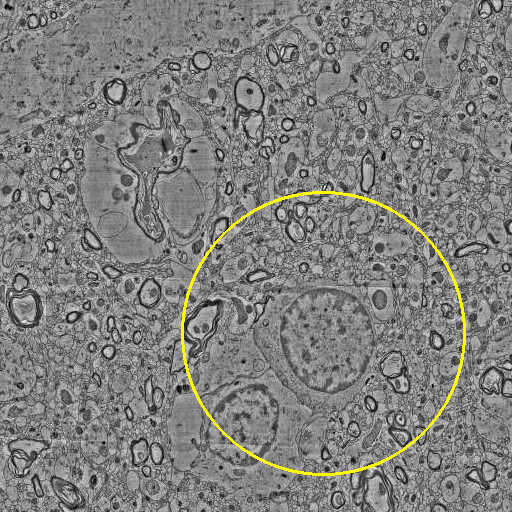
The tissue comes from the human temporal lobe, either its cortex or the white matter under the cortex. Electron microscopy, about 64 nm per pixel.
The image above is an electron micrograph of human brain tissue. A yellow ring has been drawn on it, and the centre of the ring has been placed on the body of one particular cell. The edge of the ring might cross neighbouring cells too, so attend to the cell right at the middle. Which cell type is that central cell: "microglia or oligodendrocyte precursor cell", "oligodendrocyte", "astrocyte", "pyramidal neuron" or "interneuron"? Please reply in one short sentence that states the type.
The central cell in the ring is an oligodendrocyte.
